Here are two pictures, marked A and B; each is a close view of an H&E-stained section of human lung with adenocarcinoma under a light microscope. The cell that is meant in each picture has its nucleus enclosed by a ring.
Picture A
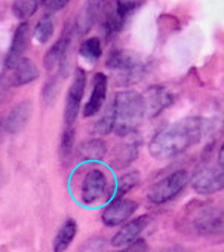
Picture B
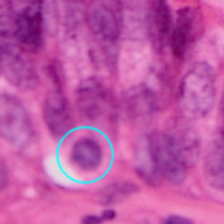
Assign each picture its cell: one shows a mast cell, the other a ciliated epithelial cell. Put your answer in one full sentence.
The cell in picture A is a ciliated epithelial cell, and the one in picture B is a mast cell.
